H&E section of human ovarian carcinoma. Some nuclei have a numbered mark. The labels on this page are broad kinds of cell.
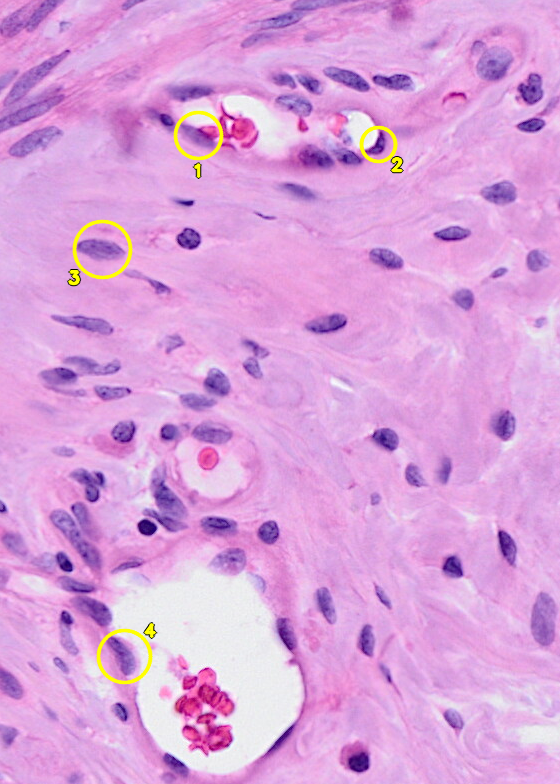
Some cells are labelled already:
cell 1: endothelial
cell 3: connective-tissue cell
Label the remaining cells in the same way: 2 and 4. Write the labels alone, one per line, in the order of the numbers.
endothelial
endothelial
